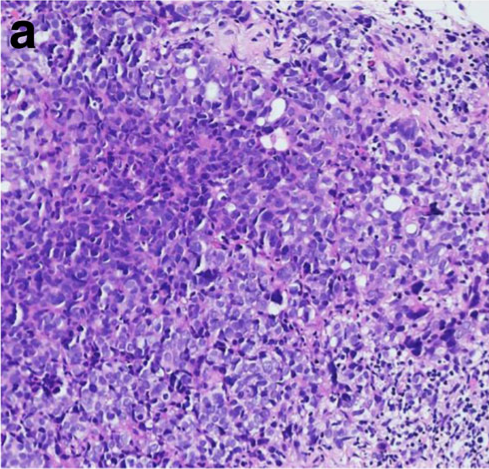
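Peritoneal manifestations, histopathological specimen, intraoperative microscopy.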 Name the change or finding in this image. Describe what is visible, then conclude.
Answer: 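Large, pleomorphic nuclei. Densely packed tumor cells with enlarged nuclei. Nuclei vary strongly in size and shape, some very large and dark.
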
